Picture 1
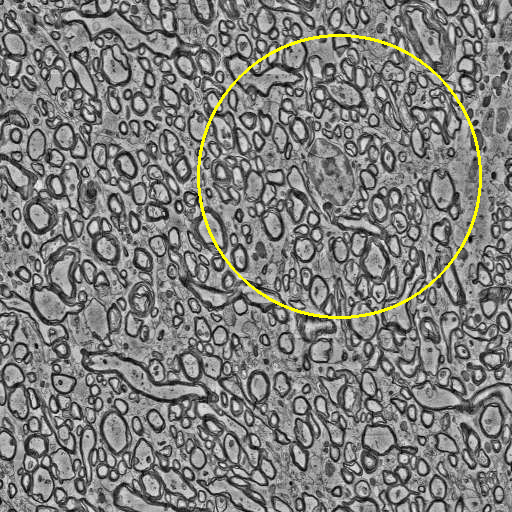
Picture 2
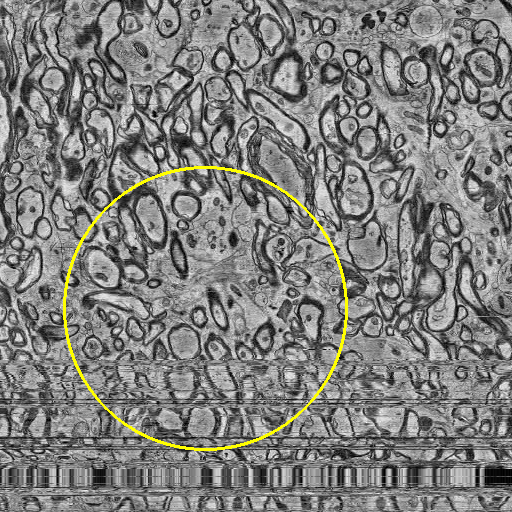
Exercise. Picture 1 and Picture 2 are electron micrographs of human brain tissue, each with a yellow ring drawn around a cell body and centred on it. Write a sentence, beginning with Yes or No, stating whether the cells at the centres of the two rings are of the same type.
Yes, the cells at the centres of both rings are of the same type.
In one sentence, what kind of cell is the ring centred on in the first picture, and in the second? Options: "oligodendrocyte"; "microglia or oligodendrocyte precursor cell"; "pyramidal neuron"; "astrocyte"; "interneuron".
In each picture the ringed cell is a microglial cell or oligodendrocyte precursor cell.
